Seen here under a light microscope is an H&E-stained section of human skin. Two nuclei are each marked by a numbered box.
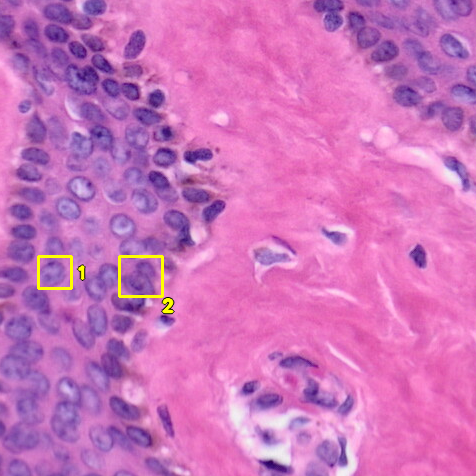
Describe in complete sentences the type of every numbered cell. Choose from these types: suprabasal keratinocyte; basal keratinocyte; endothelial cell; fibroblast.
Cell 1 is a suprabasal keratinocyte and cell 2 is a basal keratinocyte.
